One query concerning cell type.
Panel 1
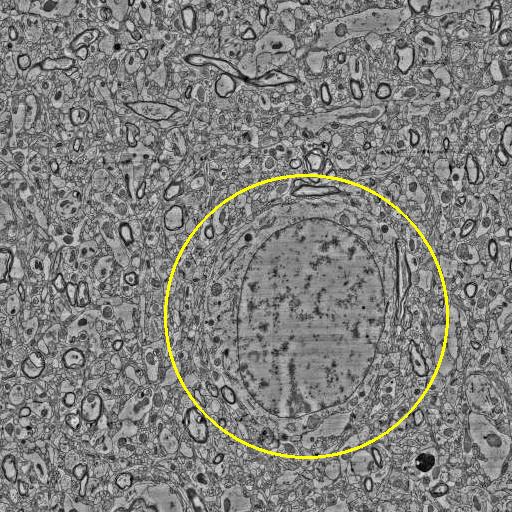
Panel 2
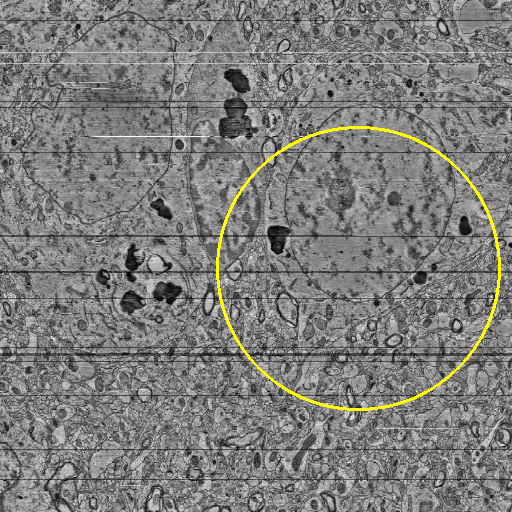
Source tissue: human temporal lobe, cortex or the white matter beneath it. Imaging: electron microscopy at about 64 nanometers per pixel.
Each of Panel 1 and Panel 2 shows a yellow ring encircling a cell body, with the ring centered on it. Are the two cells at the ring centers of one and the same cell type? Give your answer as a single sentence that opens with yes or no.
Yes, the cell centered in Panel 1 and the one in Panel 2 share a type.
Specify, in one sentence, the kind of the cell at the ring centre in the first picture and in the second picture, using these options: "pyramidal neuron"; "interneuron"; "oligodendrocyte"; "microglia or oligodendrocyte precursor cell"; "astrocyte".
Each of the two pictures has a pyramidal neuron at the ring centre.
